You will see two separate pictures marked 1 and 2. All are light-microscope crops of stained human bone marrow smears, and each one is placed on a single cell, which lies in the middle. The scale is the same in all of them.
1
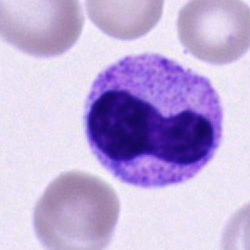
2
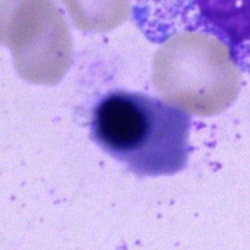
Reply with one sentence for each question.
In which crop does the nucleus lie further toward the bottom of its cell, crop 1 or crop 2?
In crop 1 the nucleus is shifted more toward the bottom.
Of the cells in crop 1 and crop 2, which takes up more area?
The cell in crop 1 is larger, with about 2.5 times the area of the one in crop 2.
